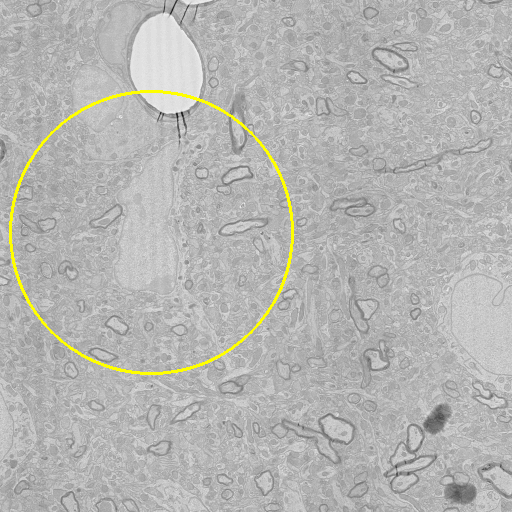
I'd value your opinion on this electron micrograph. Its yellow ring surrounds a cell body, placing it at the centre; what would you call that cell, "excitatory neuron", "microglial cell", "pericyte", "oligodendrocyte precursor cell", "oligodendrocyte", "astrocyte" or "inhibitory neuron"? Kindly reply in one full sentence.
It is an oligodendrocyte precursor cell that sits centred within the yellow ring in this micrograph.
